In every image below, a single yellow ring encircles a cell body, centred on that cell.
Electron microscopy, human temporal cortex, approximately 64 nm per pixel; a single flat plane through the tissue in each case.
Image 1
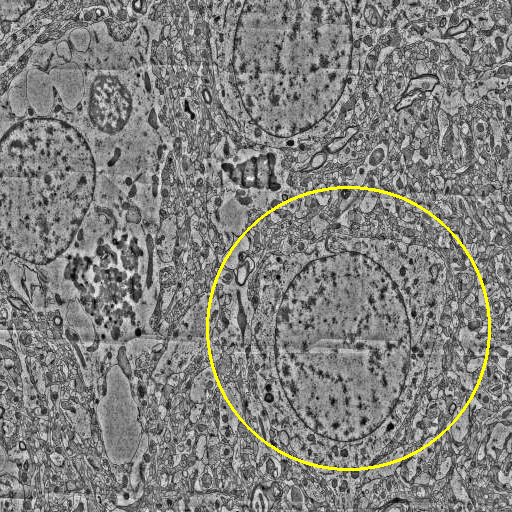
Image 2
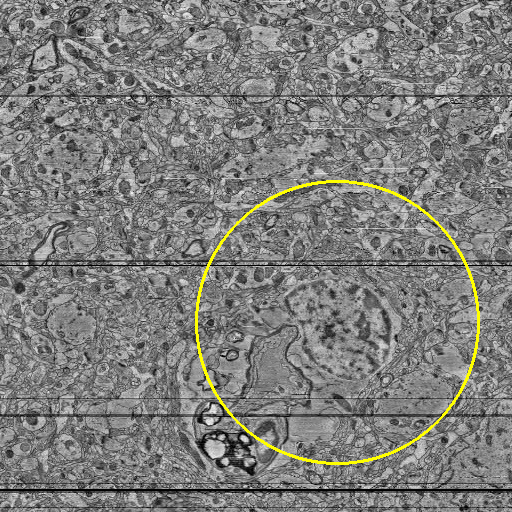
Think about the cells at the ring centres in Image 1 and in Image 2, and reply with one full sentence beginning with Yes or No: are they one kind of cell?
No, the cells centred in the rings of Image 1 and Image 2 are two kinds of cell.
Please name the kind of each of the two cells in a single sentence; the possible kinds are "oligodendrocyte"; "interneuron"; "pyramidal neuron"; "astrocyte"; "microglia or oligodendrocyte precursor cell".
In the first picture the ring is centred on a pyramidal neuron, and in the second on a microglial cell or oligodendrocyte precursor cell.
